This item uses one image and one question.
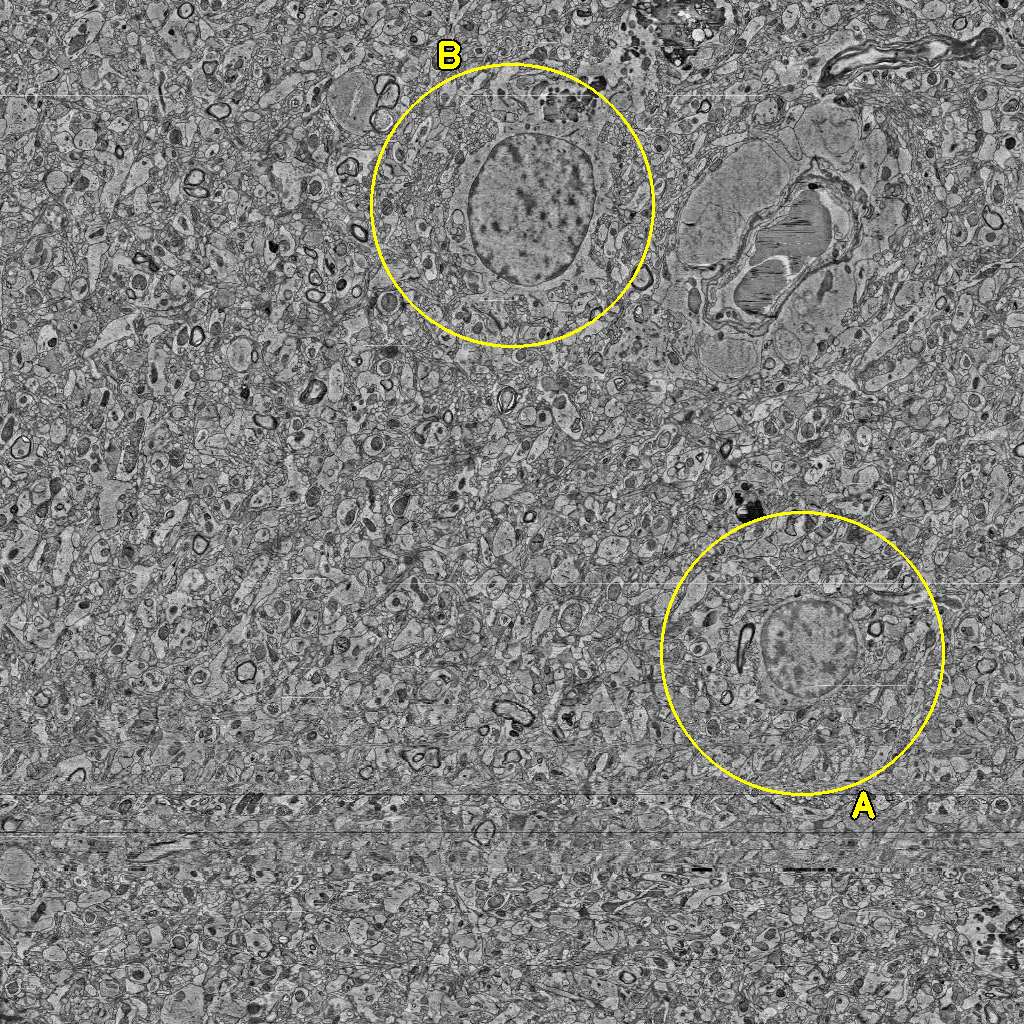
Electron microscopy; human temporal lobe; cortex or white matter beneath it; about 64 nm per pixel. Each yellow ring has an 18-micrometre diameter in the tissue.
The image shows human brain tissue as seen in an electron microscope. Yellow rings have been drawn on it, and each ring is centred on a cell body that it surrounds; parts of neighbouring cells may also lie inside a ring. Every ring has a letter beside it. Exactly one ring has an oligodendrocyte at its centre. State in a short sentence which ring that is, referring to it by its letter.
Ring A has that cell at its centre.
